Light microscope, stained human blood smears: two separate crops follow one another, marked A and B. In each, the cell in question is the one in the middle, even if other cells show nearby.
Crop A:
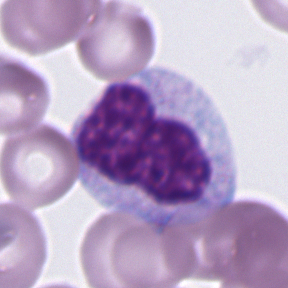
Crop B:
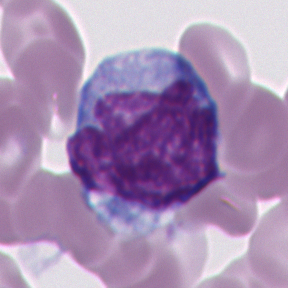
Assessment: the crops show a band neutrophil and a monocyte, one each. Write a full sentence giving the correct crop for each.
Crop A depicts a band neutrophil, and a monocyte is depicted in crop B.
